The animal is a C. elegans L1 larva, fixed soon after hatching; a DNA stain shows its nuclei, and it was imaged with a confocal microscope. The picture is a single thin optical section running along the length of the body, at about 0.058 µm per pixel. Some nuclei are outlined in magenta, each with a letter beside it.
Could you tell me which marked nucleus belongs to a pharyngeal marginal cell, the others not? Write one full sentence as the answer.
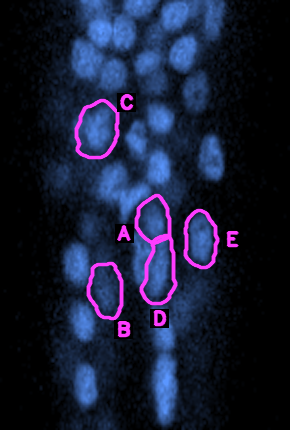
C is from a pharyngeal marginal cell.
